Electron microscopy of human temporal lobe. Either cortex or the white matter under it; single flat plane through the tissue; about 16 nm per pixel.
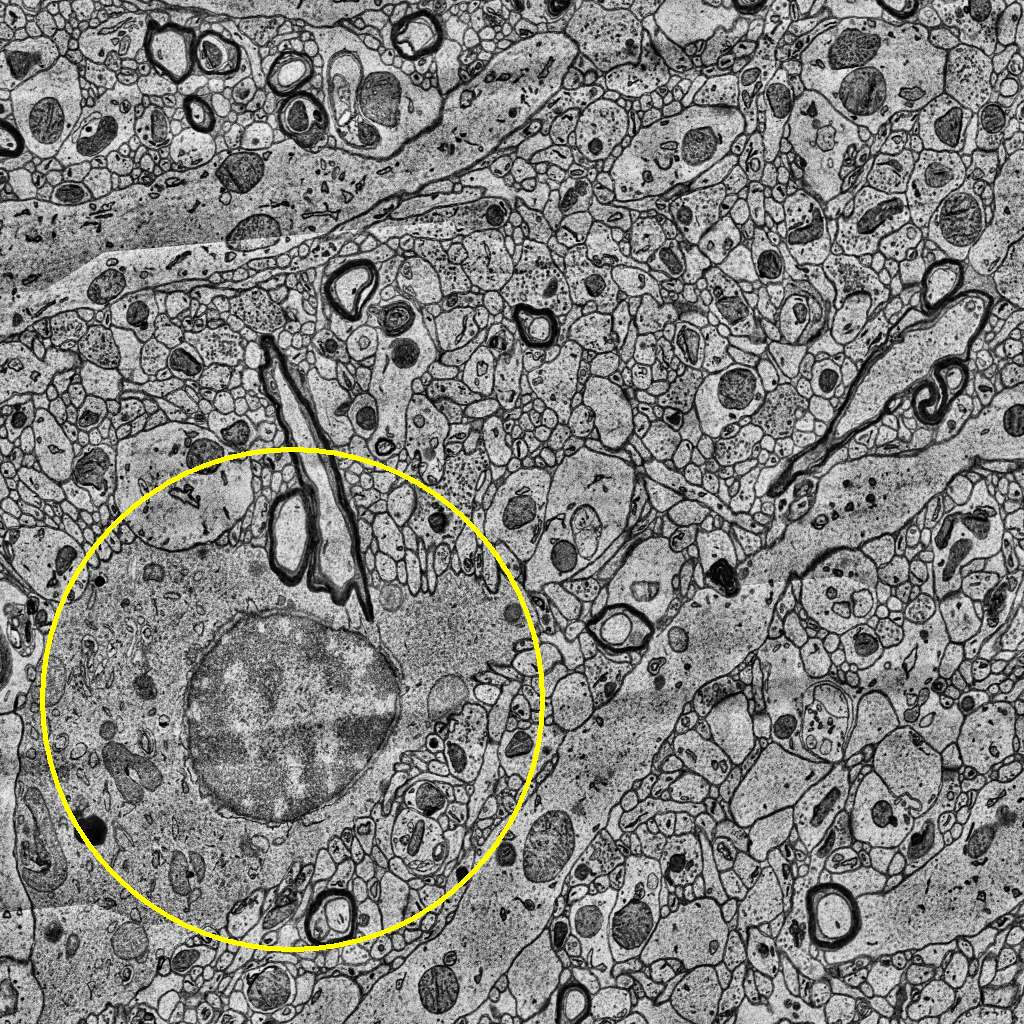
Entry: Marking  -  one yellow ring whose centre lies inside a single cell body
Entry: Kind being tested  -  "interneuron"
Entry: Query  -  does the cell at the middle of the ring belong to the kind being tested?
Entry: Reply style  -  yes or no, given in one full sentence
No, the cell at the middle of the ring in the picture belongs to a different kind.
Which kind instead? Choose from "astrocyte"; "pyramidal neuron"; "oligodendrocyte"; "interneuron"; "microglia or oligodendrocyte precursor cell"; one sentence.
Instead, the picture shows an oligodendrocyte at the centre of the ring.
